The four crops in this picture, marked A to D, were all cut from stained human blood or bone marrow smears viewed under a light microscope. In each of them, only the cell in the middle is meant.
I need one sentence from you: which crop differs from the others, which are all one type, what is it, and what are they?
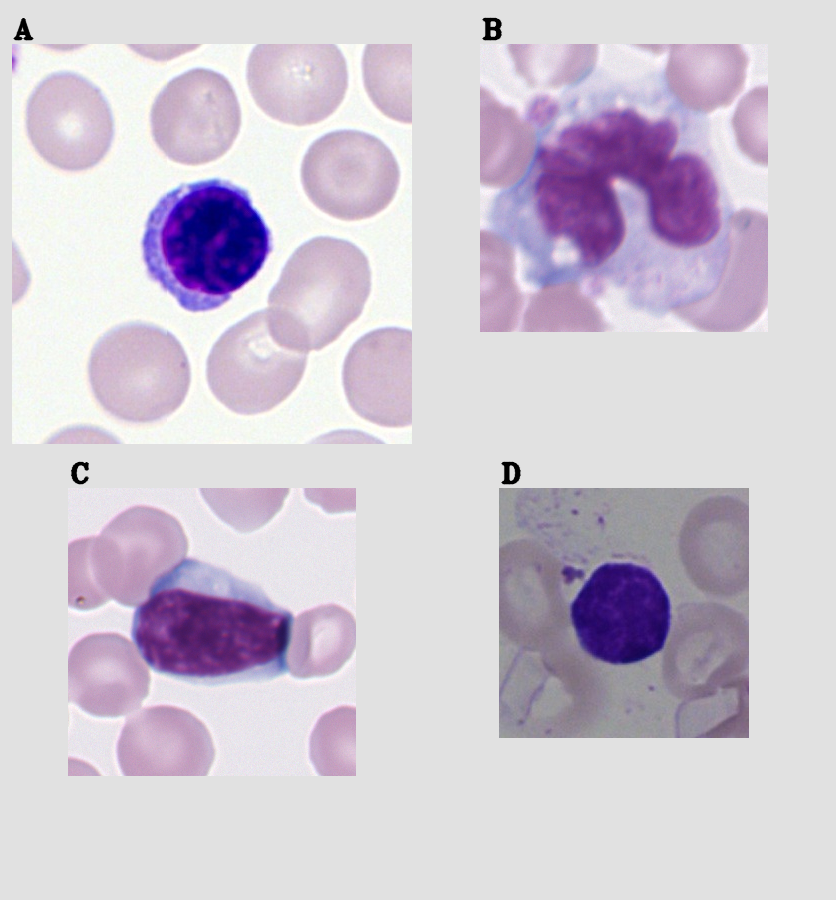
Among these crops, lymphocytes occur in all but crop B, which contains a monocyte.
